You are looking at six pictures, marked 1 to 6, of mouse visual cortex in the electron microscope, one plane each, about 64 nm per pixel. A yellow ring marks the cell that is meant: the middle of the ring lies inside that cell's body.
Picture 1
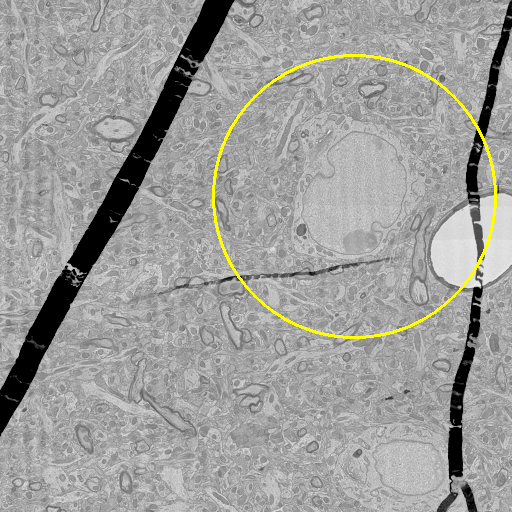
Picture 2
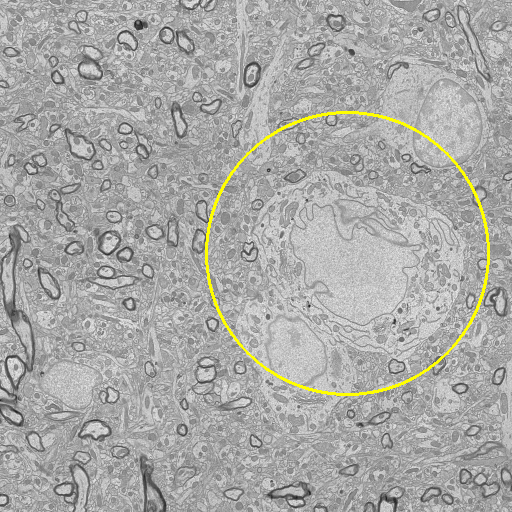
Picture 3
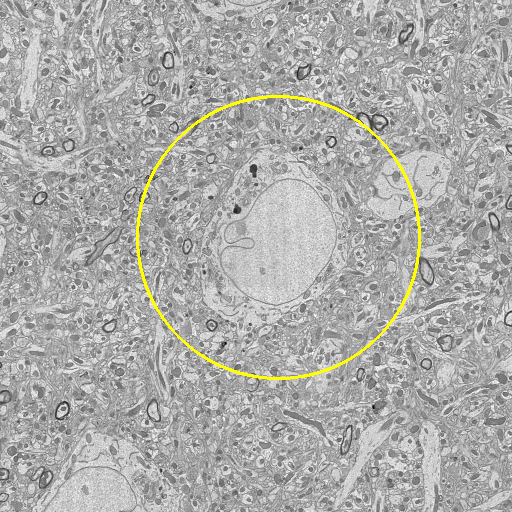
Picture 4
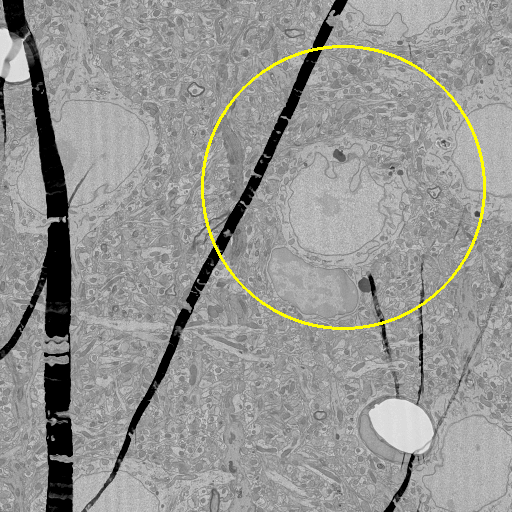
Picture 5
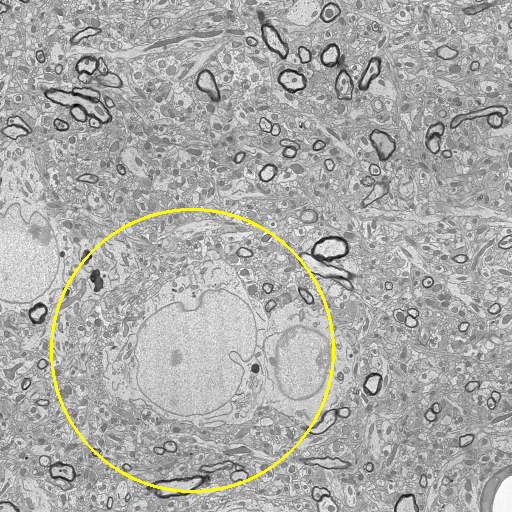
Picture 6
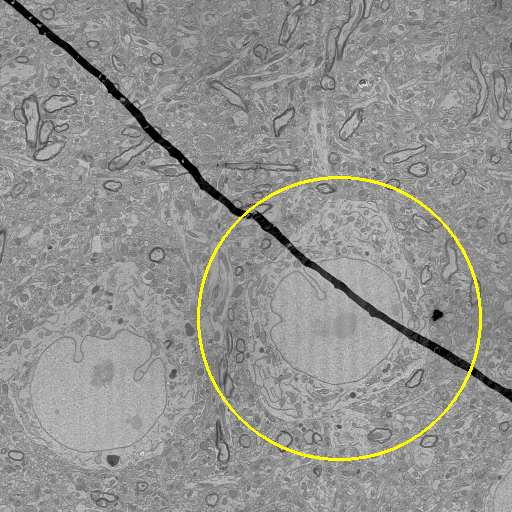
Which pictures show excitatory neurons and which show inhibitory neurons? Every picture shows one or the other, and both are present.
Pictures 1, 3 and 5 show excitatory neurons, while pictures 2, 4 and 6 show inhibitory neurons.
